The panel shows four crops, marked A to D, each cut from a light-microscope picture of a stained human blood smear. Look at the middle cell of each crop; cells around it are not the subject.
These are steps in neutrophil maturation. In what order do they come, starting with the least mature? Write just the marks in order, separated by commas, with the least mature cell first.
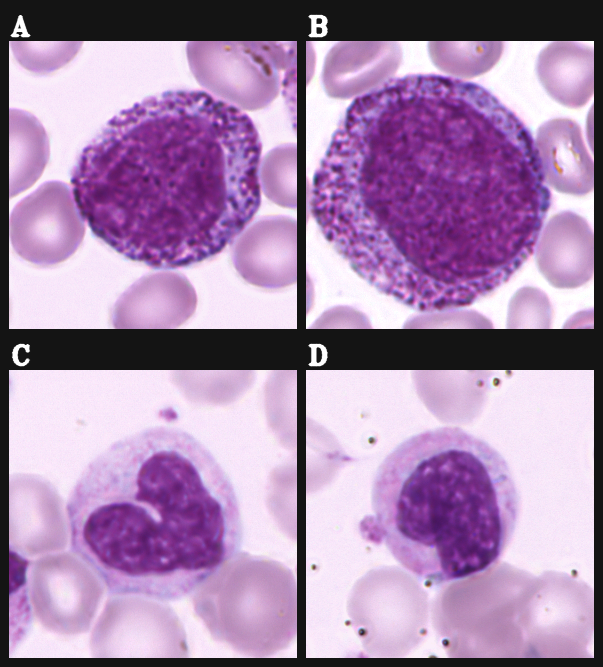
B, A, D, C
